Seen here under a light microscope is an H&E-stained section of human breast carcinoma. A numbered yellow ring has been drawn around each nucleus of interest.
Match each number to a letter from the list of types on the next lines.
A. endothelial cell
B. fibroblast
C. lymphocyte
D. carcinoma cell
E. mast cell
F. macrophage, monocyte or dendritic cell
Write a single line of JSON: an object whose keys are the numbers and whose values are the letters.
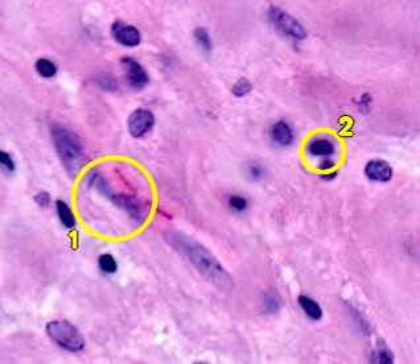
{"1": "A", "2": "C"}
